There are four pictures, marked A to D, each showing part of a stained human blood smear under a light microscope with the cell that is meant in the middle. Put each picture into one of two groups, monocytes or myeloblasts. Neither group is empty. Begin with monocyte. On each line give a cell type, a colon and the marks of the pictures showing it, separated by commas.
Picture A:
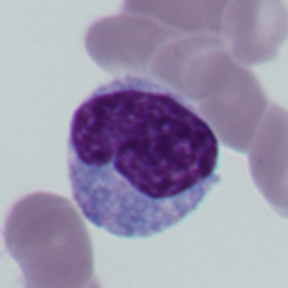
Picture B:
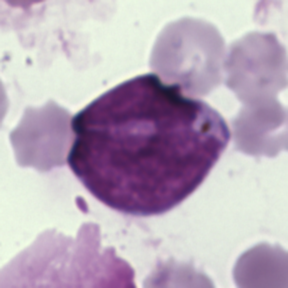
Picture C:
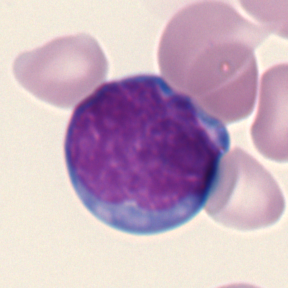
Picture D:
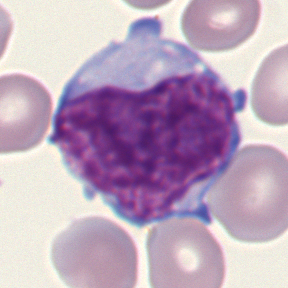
monocyte: A
myeloblast: B, C, D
